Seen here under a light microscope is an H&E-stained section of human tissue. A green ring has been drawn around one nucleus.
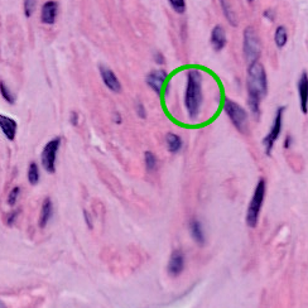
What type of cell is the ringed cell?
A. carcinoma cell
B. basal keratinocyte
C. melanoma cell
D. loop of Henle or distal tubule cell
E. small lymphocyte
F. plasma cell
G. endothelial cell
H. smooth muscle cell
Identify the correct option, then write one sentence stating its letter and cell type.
Option H gives the correct identity of the ringed cell, which is a smooth muscle cell.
